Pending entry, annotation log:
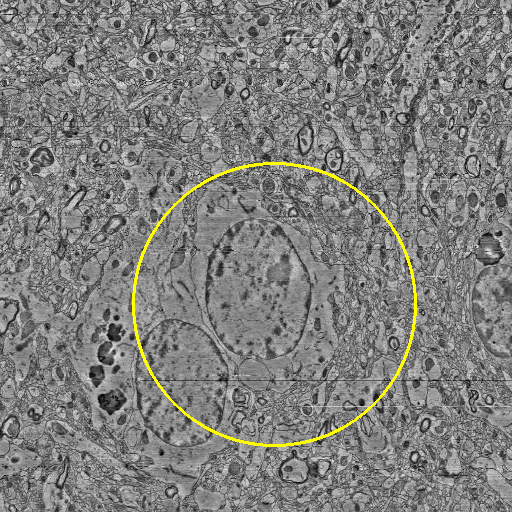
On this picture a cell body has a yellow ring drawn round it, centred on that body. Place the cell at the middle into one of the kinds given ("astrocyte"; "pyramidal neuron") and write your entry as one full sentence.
The cell body at the middle of the yellow ring belongs to an astrocyte.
